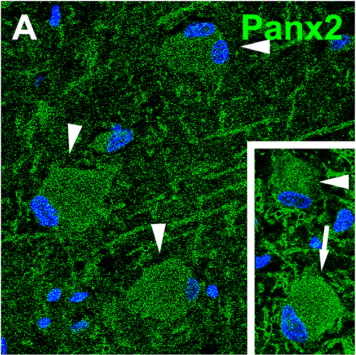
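Large rounded cells with abundant, finely granular green cytoplasm lie in a fibrillar green background. Their blue nuclei sit eccentrically at the cell margin. Smaller blue nuclei of surrounding cells are scattered between them.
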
